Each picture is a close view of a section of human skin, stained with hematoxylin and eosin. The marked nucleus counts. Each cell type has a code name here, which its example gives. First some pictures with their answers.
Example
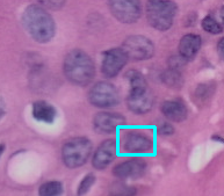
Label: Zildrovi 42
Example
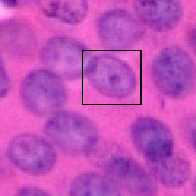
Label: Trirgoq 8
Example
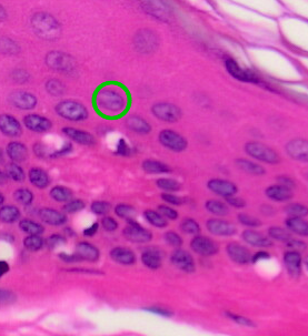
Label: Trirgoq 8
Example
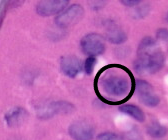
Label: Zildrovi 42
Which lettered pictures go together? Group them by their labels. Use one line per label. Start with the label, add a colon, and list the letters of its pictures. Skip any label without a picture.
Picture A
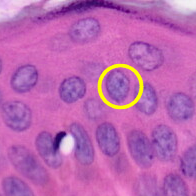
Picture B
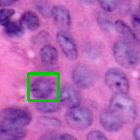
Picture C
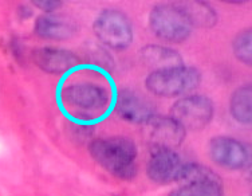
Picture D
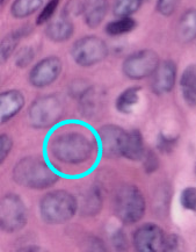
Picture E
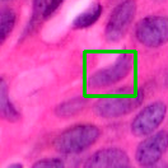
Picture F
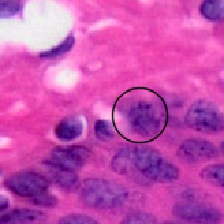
Zildrovi 42: B, C, E, F
Trirgoq 8: A, D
